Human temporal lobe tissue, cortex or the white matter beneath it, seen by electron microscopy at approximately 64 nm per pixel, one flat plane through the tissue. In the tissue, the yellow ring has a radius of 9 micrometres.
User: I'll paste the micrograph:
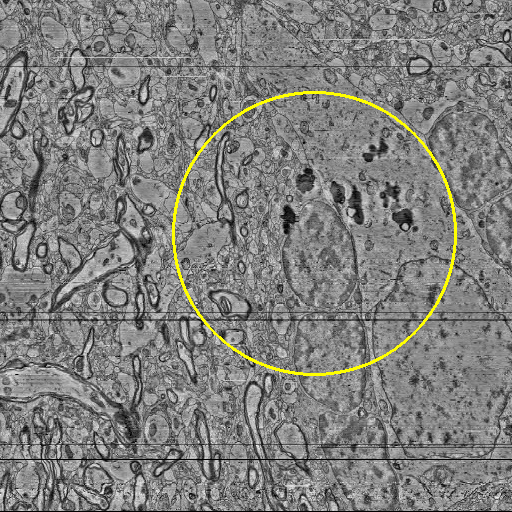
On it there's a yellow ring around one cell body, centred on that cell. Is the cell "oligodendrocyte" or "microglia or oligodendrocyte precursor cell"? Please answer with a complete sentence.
The cell ringed in yellow is an oligodendrocyte.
